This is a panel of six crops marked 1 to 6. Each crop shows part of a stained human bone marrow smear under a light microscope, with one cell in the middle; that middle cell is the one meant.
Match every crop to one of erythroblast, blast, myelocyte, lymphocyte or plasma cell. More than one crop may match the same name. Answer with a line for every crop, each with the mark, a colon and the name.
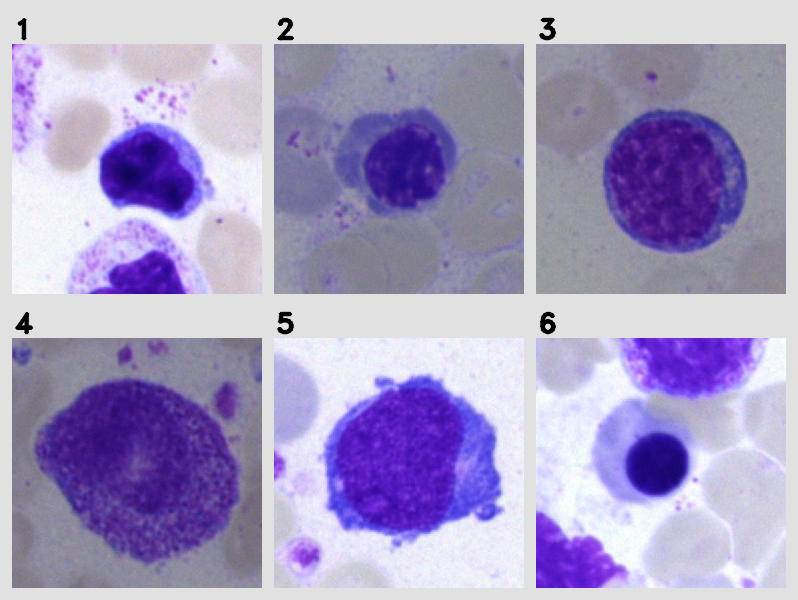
1: lymphocyte
2: erythroblast
3: blast
4: myelocyte
5: blast
6: erythroblast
